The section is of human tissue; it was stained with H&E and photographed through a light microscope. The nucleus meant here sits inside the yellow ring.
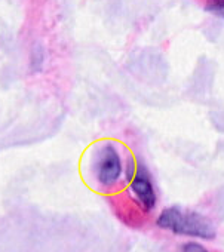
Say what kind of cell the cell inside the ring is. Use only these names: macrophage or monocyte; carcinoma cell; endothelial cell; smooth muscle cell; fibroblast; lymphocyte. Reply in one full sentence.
In terms of identity, the cell inside the ring is an endothelial cell.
